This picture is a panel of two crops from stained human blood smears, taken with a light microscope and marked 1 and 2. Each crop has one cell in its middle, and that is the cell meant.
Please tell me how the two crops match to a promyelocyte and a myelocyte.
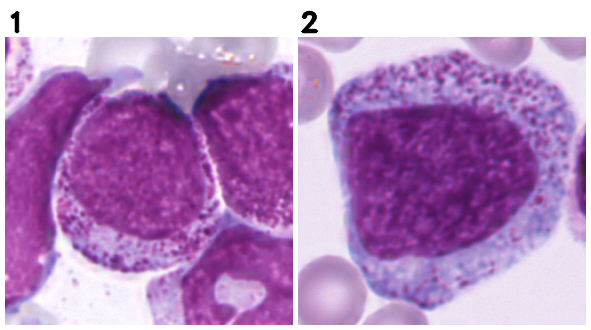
1: myelocyte
2: promyelocyte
